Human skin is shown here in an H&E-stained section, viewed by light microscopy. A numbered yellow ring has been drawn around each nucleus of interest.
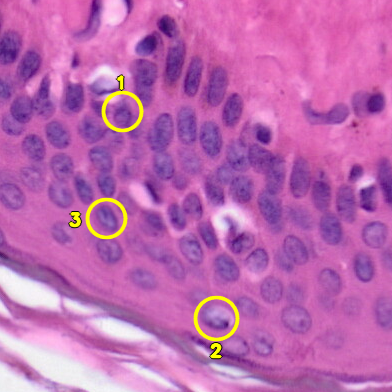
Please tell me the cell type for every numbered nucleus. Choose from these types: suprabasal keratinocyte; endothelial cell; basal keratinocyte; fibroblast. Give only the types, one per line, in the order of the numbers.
basal keratinocyte
suprabasal keratinocyte
suprabasal keratinocyte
